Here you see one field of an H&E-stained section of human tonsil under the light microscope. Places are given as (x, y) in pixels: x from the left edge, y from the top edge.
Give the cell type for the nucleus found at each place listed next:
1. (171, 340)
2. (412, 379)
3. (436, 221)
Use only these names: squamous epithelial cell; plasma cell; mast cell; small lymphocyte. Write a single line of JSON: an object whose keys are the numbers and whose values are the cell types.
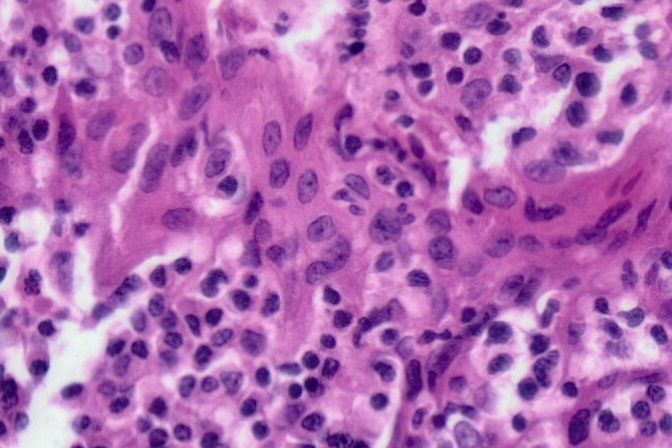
{"1": "plasma cell", "2": "squamous epithelial cell", "3": "squamous epithelial cell"}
